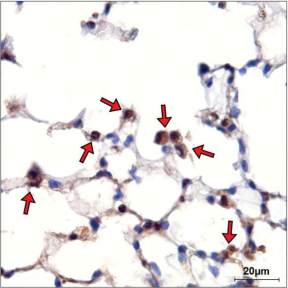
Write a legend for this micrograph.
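Lung parenchyma at high magnification: thin alveolar septa outline wide, empty air spaces. Septal cells have small, flattened or oval blue-counterstained nuclei. Scattered along and within the septa, and at places where septa meet, are rounded cells with brown-stained cytoplasm; several lie in small clusters toward the centre of the field, some bulging into the air space. These brown cells are larger and rounder than the flat lining cells, with a round blue nucleus surrounded by granular brown cytoplasm. Fine brown granular material also lies along some septal surfaces. Walls are delicate, without thickening or exudate in the spaces.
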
